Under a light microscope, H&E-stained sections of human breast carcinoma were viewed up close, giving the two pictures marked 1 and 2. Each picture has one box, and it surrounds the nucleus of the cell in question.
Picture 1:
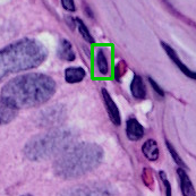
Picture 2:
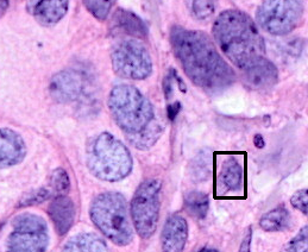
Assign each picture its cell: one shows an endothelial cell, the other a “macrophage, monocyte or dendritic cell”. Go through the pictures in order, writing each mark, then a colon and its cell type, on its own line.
1: endothelial cell
2: macrophage, monocyte or dendritic cell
